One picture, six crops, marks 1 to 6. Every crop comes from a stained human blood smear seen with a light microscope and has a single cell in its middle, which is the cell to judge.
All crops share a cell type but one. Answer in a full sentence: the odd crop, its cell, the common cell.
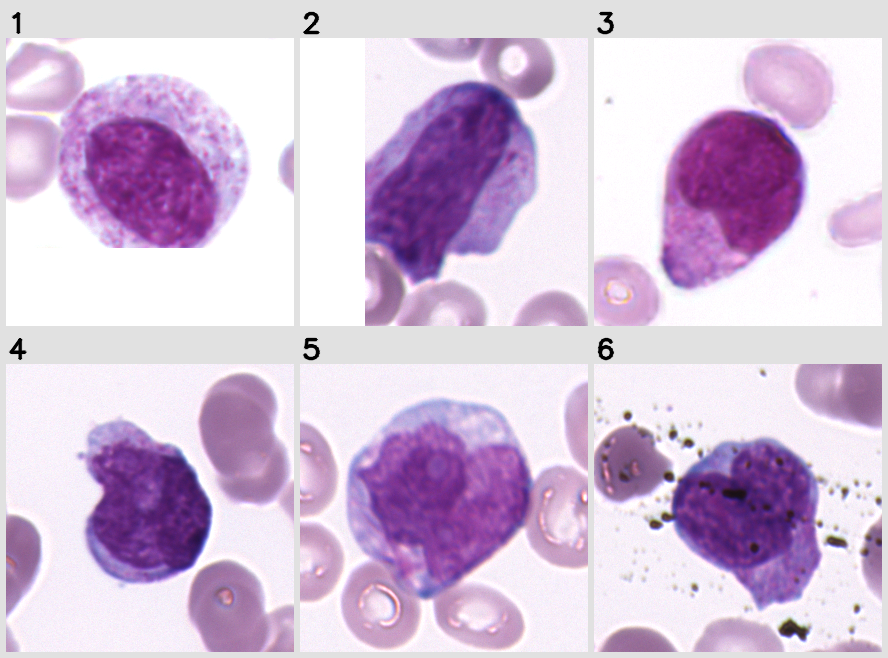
Crop 1 holds a myelocyte, unlike the remaining crops, all of which hold atypical promyelocytes.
